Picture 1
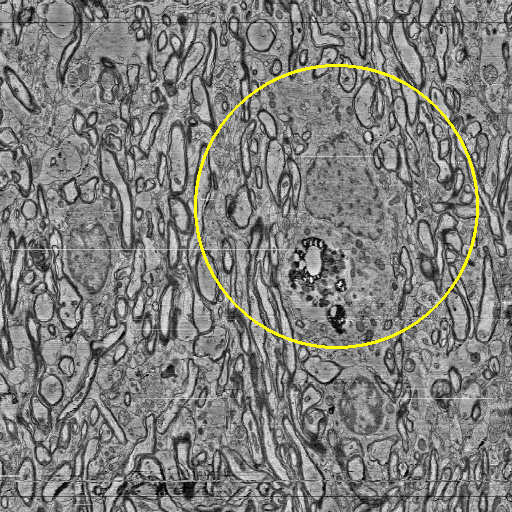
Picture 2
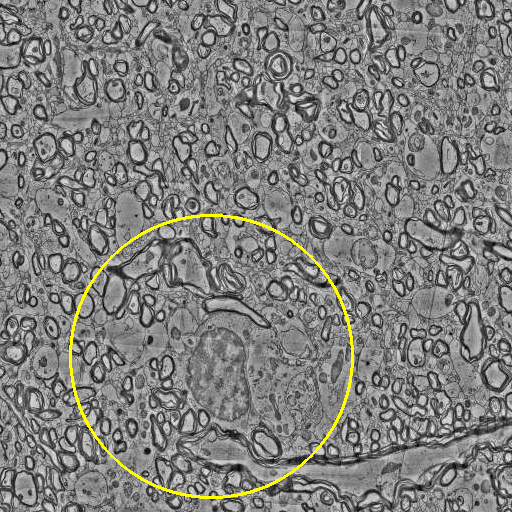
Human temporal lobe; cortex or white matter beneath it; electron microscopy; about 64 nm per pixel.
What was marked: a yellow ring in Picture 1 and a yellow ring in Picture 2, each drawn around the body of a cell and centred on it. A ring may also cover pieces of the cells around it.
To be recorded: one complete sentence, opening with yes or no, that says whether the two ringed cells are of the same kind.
No, the two ringed cells are of two kinds.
